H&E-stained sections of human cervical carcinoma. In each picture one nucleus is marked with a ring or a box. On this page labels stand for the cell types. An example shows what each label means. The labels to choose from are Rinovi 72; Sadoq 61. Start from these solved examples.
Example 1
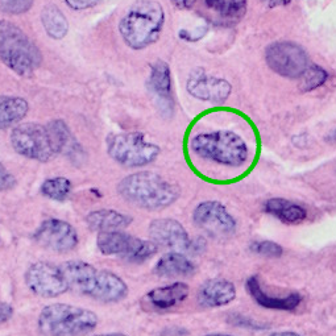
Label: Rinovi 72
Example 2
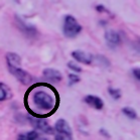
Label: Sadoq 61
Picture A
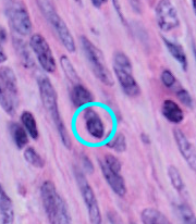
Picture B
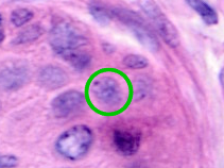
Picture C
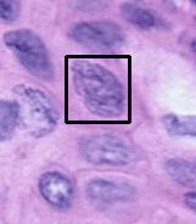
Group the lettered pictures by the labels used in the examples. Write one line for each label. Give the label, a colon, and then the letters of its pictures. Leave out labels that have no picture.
Rinovi 72: B, C
Sadoq 61: A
